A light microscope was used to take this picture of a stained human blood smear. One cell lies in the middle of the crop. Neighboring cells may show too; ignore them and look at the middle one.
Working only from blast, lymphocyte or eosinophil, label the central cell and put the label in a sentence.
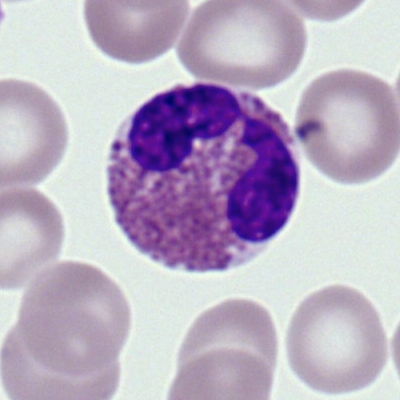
At the crop's centre, the cell is an eosinophil.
